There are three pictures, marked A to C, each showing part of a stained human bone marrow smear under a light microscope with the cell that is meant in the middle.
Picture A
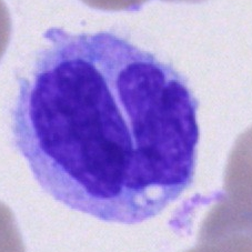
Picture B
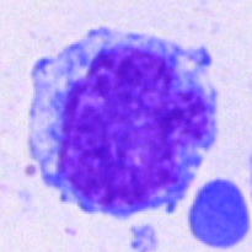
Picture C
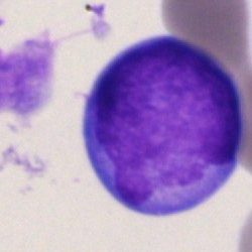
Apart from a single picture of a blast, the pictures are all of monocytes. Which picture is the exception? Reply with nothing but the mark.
C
